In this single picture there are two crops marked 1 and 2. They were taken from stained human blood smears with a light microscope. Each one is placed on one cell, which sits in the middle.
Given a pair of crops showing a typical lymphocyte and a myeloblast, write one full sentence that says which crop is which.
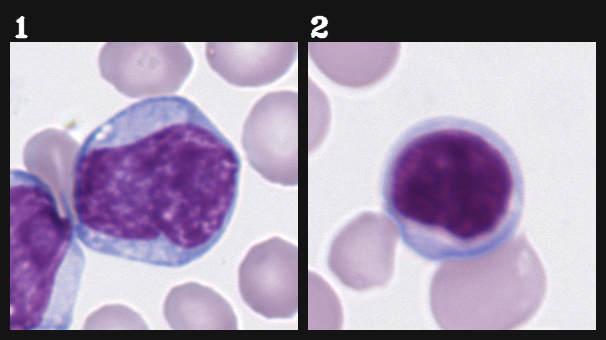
Crop 1 is occupied by a myeloblast, and crop 2 is occupied by a typical lymphocyte.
